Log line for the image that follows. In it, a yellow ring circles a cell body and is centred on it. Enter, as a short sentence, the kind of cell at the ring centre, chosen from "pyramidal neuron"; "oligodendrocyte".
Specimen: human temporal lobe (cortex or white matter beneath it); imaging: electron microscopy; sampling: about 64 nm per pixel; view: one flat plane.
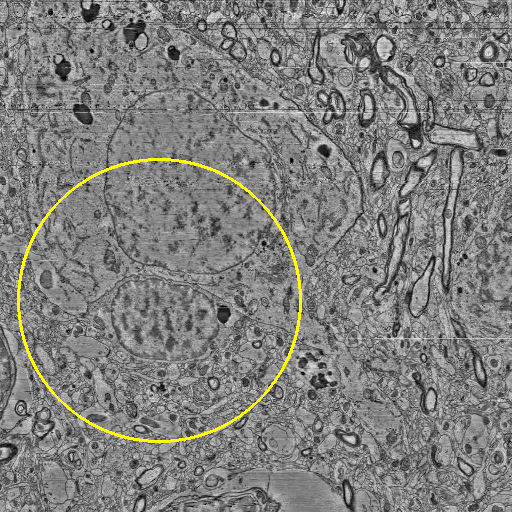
The ring centre is occupied by an oligodendrocyte.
